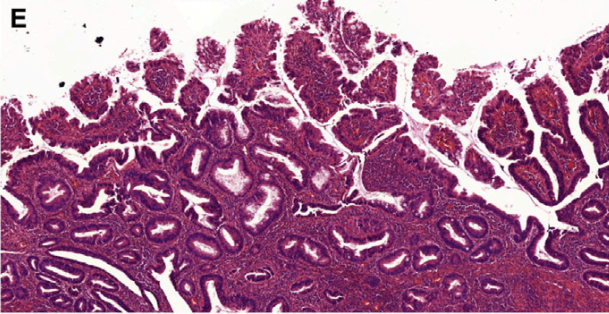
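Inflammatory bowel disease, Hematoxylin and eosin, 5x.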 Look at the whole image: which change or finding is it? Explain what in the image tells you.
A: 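Villiform projections lined by intensely eosinophilic epithelium. Serrated, saw-toothed outline of the surface epithelium.
Hence: Traditional serrated adenoma-like dysplasia.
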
